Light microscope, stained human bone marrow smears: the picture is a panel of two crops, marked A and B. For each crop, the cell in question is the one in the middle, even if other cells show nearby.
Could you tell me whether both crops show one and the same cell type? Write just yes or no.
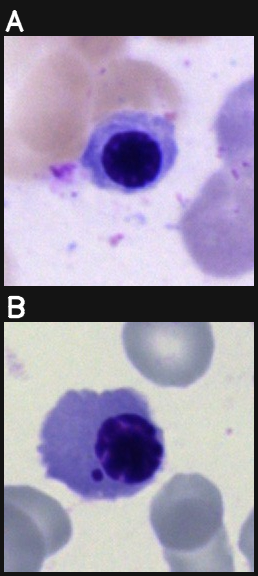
yes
